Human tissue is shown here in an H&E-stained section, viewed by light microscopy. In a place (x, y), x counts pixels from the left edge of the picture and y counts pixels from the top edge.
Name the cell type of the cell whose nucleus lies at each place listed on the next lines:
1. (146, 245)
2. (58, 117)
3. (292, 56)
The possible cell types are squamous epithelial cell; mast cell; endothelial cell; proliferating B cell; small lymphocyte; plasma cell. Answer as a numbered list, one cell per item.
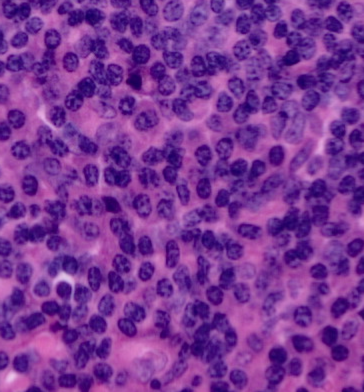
1. plasma cell
2. plasma cell
3. small lymphocyte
